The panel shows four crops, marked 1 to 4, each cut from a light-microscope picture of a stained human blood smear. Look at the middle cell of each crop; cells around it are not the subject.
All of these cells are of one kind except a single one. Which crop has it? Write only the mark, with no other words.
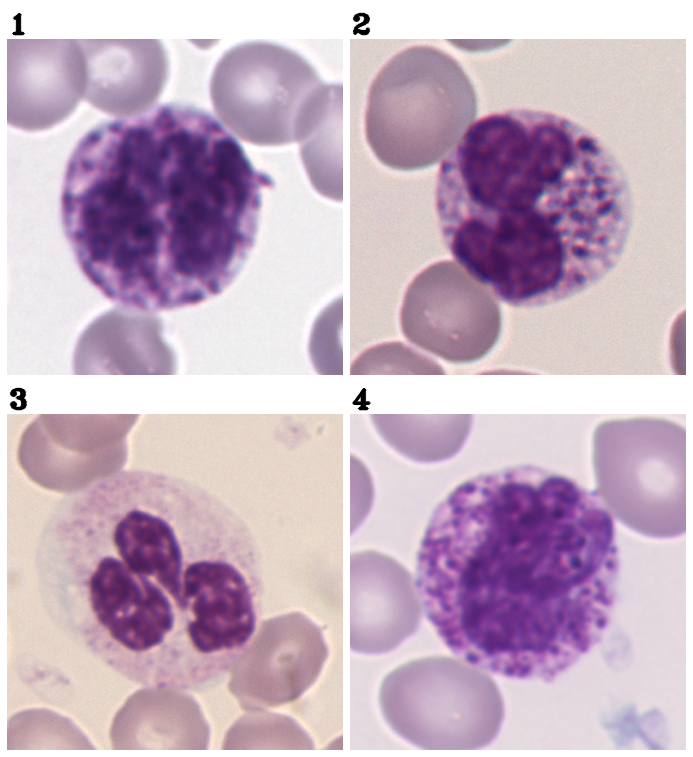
3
